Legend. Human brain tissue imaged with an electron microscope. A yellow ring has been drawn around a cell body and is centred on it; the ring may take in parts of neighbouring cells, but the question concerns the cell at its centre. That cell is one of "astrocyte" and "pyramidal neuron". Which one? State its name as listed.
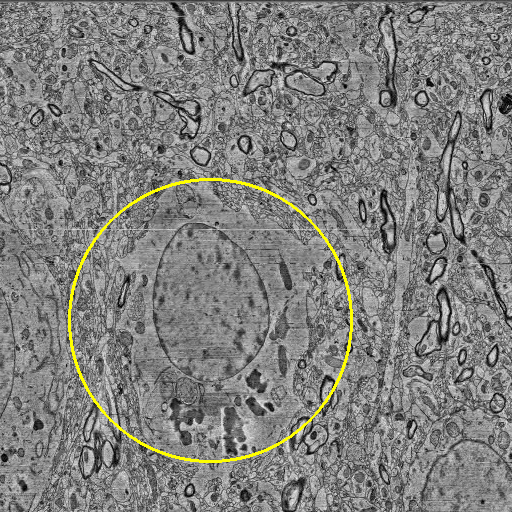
astrocyte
